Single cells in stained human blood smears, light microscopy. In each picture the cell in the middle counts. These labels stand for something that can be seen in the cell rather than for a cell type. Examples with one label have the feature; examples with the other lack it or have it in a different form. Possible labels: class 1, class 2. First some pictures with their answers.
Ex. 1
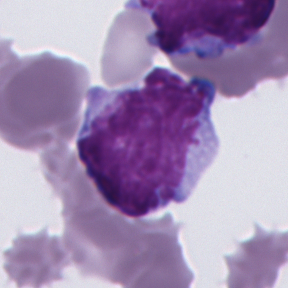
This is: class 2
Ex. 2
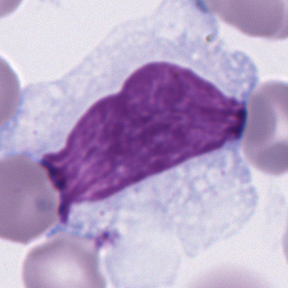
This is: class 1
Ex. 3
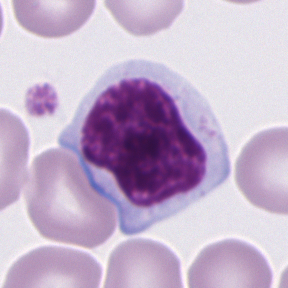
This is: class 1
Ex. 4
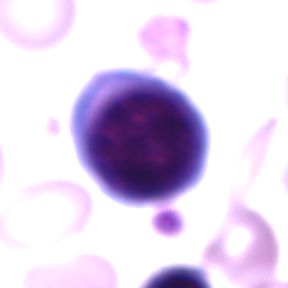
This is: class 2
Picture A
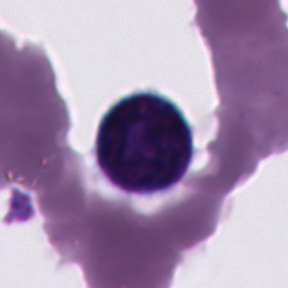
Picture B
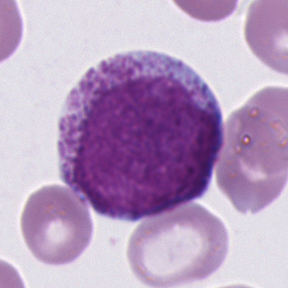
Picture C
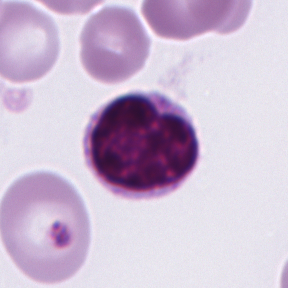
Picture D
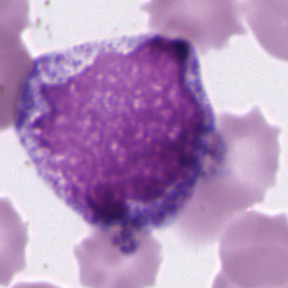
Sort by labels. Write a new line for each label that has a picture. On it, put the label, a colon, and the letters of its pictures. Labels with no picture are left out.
class 2: A, B, C, D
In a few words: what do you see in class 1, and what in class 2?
class 1, abundant cytoplasm; class 2, scant cytoplasm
